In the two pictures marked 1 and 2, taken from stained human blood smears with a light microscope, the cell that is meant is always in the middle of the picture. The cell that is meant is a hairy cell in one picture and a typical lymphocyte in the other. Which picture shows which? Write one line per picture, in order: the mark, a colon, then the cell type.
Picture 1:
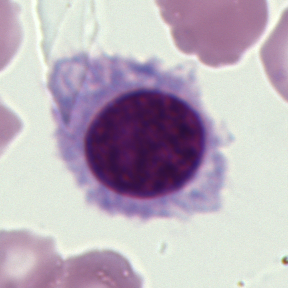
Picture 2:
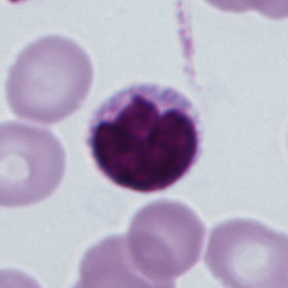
1: hairy cell
2: typical lymphocyte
